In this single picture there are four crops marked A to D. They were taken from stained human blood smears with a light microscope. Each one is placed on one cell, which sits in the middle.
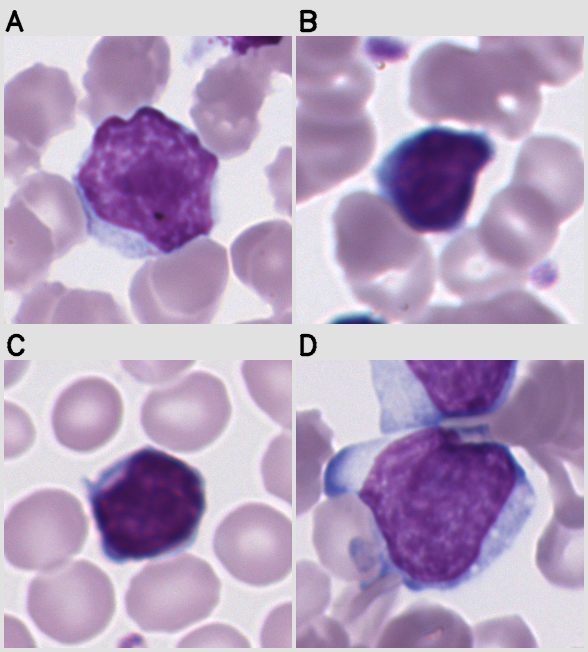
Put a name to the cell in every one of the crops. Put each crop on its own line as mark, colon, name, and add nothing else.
A: typical lymphocyte
B: typical lymphocyte
C: typical lymphocyte
D: myeloblast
